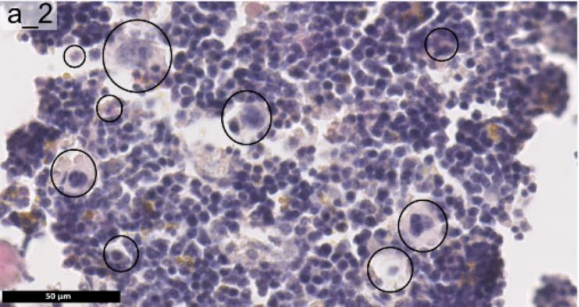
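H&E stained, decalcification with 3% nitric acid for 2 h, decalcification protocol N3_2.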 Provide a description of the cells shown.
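This is bone marrow made up mostly of densely packed small round hematopoietic cells with dark blue, rounded nuclei and scant cytoplasm. Scattered among them are a few much larger cells with more abundant pale cytoplasm and larger nuclei, several of them circled.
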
